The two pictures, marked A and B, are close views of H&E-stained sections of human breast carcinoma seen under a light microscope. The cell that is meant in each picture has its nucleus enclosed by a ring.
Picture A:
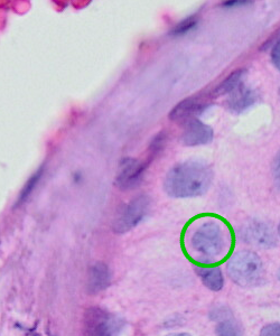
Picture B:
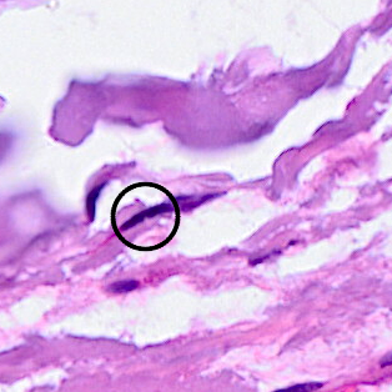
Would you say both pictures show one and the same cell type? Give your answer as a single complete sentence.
No, picture A shows a carcinoma cell and picture B shows a fibroblast.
